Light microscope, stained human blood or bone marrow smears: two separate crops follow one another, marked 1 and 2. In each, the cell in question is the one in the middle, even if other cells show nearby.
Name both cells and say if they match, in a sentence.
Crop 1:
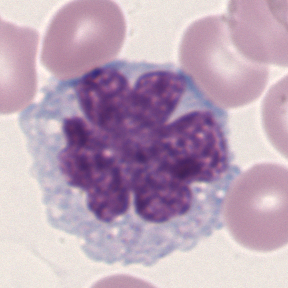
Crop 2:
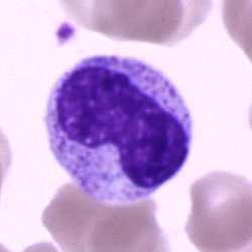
No, record crop 1 as a monocyte and crop 2 as a metamyelocyte.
